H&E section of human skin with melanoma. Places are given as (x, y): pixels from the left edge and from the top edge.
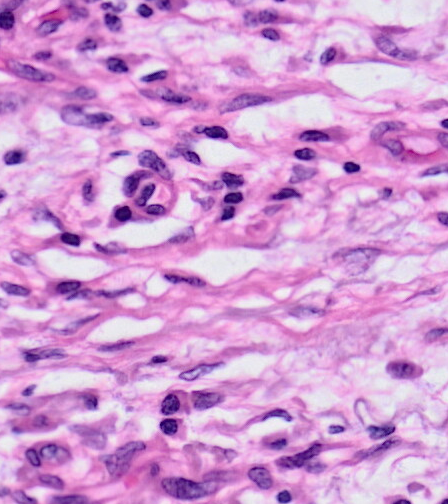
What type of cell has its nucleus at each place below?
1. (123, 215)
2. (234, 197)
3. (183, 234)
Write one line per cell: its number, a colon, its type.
1: plasma cell
2: plasma cell
3: fibroblast or myofibroblast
